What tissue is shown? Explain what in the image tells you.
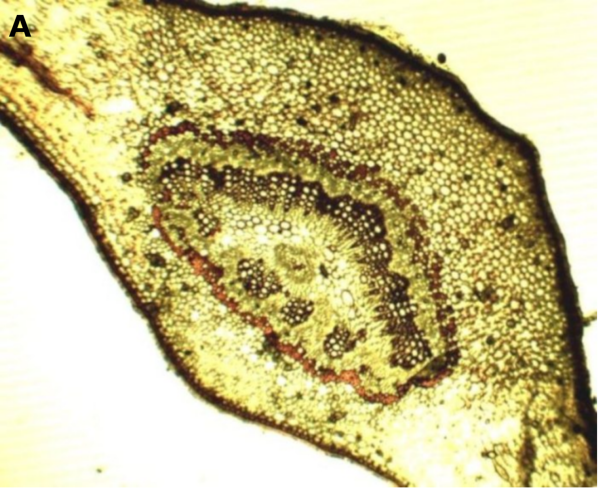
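Central nerve of the leaf. A thickened, bulging part of a leaf section tapers into a thin blade at the upper left. A curved central arc of dark, thick-walled cells with red-stained bands lies within a broad ground tissue of rounded cells. A dark outer boundary line runs around the whole section.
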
